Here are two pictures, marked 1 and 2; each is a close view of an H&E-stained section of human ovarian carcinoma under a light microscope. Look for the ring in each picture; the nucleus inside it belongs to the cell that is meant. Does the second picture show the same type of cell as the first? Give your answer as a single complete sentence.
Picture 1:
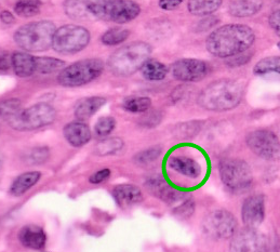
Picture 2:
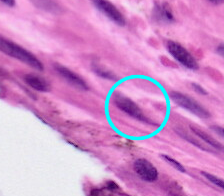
No; the cell in picture 1 is a “macrophage or monocyte”, while the one in picture 2 is a fibroblast.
